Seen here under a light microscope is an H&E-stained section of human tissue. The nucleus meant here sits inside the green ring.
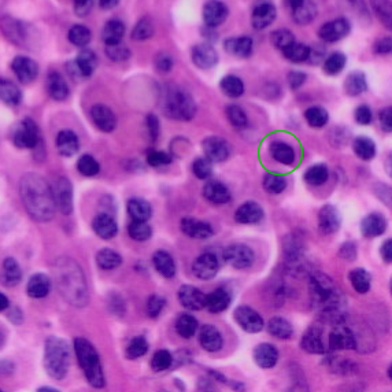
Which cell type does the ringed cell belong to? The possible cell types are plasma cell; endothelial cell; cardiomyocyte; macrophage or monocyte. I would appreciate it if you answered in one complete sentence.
In cellular terms, the ringed cell is a plasma cell.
